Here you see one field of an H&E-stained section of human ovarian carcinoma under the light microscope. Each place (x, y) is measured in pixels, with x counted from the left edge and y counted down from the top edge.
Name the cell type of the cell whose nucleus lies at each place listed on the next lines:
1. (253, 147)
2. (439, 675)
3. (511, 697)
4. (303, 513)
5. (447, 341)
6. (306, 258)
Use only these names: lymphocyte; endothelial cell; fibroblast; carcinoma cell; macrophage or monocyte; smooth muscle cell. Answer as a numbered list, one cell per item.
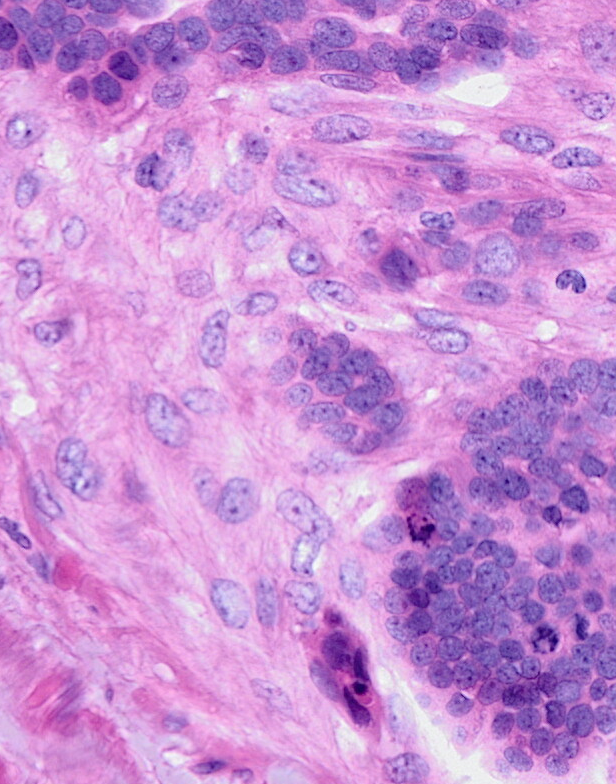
1. fibroblast
2. carcinoma cell
3. carcinoma cell
4. fibroblast
5. fibroblast
6. fibroblast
